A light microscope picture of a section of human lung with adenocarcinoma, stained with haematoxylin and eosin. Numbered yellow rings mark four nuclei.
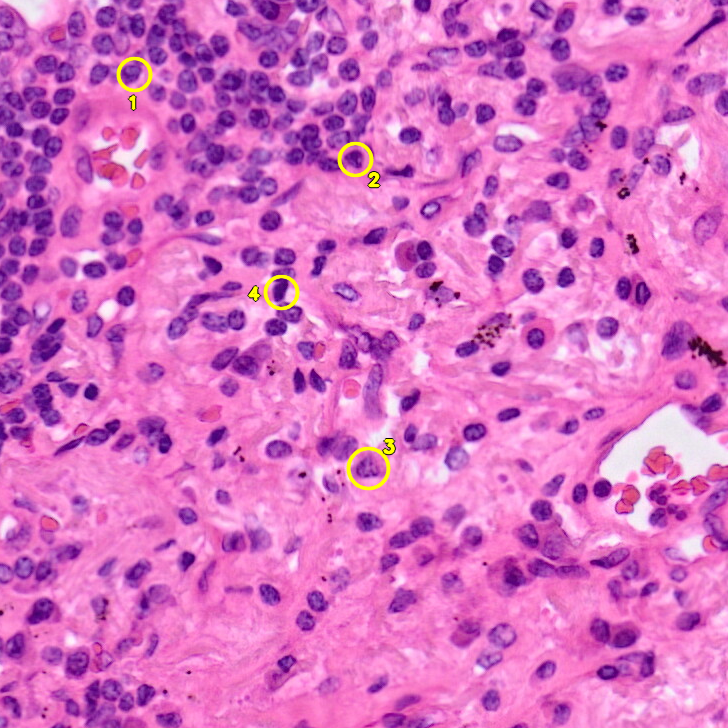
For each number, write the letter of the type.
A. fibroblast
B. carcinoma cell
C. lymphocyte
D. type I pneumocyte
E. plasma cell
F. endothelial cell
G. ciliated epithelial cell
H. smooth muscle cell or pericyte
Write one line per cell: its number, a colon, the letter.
1: C
2: C
3: E
4: C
